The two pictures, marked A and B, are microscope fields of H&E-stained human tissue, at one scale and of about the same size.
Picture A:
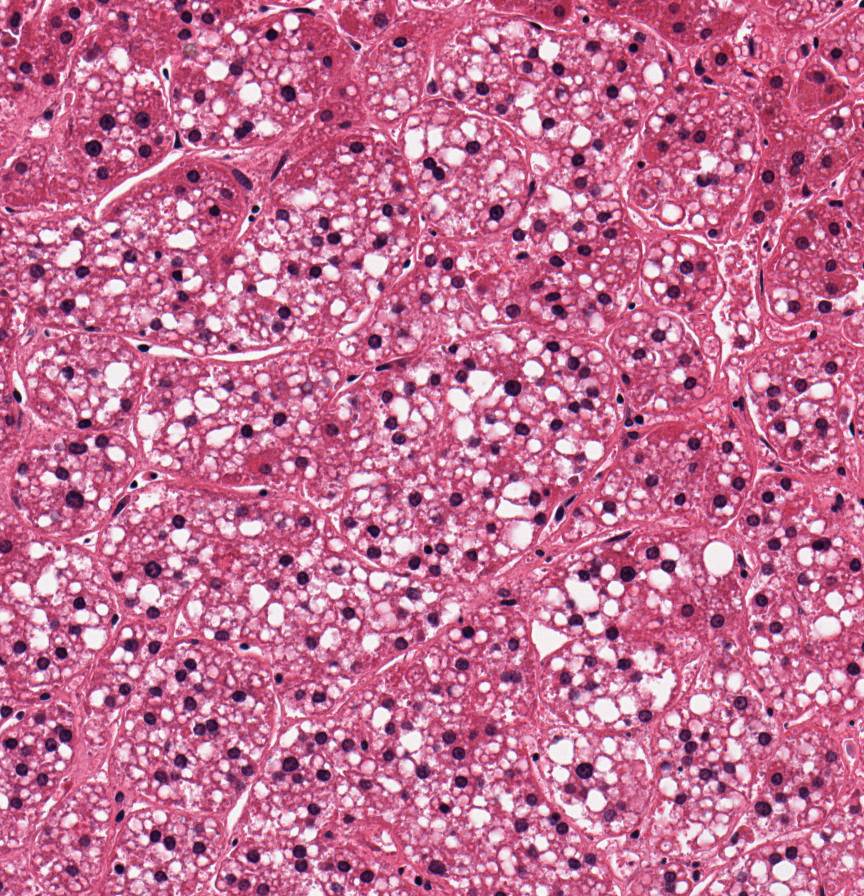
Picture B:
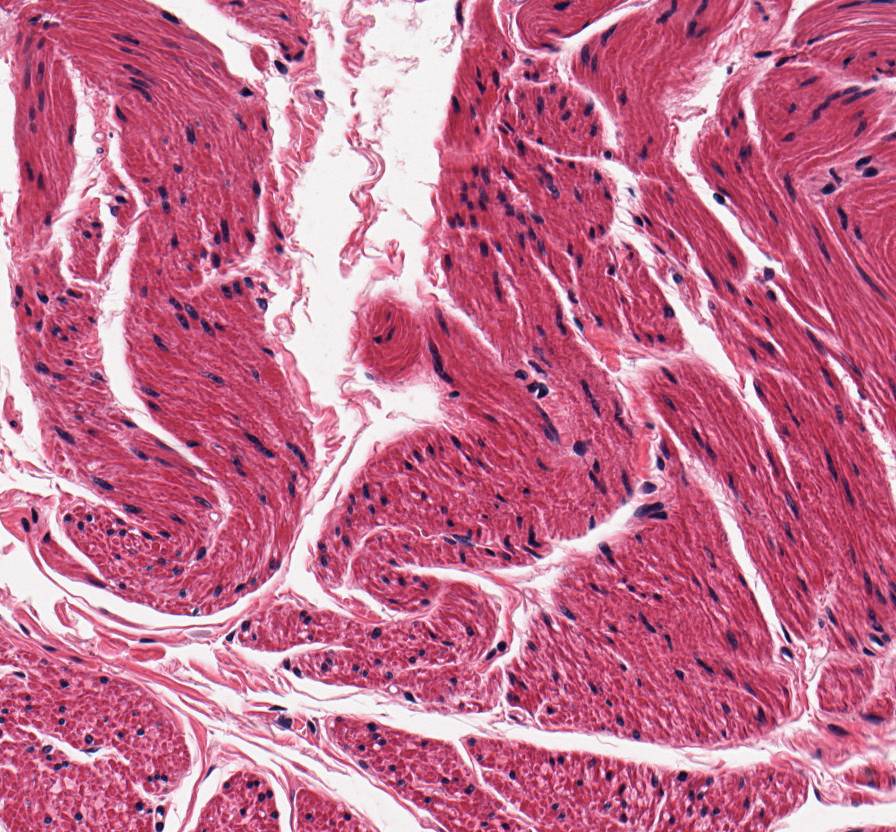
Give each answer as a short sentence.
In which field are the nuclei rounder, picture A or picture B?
On the whole the nuclei of picture A are rounder than those of picture B.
